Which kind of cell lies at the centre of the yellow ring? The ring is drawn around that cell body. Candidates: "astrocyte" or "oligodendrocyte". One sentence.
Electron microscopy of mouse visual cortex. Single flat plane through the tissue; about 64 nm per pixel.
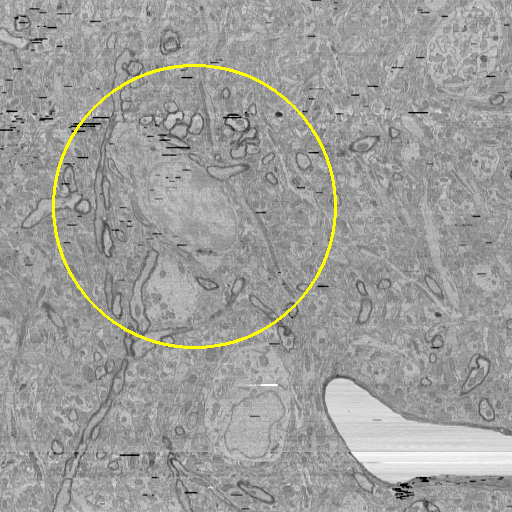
Lying at the centre of the ring is an oligodendrocyte.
